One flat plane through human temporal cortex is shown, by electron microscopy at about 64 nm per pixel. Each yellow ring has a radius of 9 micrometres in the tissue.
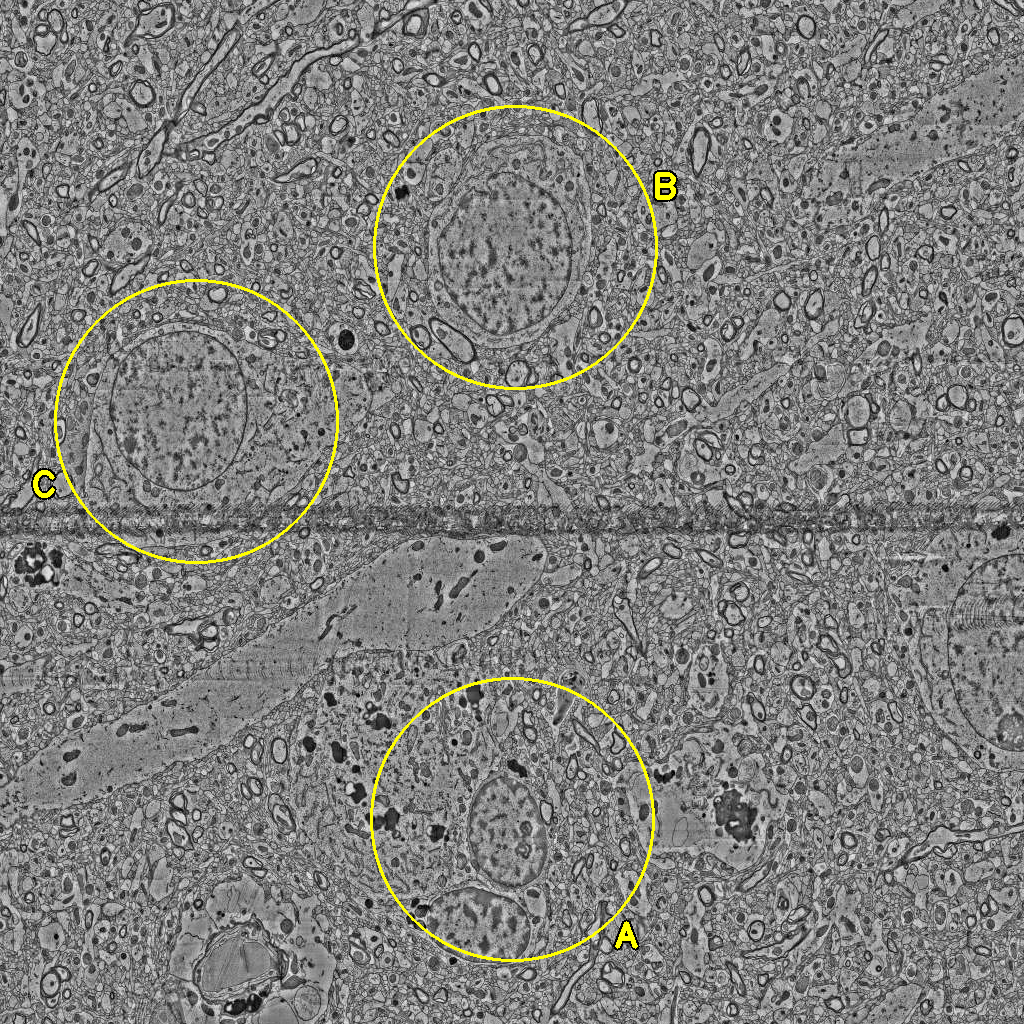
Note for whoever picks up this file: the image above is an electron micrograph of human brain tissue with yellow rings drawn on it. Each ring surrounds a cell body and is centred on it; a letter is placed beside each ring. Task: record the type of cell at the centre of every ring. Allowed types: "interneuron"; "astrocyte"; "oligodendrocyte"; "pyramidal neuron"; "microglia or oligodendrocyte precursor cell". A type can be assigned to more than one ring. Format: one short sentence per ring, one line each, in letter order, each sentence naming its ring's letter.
The ring marked A is centred on an oligodendrocyte.
The ring marked B is centred on an interneuron.
The ring marked C is centred on a pyramidal neuron.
